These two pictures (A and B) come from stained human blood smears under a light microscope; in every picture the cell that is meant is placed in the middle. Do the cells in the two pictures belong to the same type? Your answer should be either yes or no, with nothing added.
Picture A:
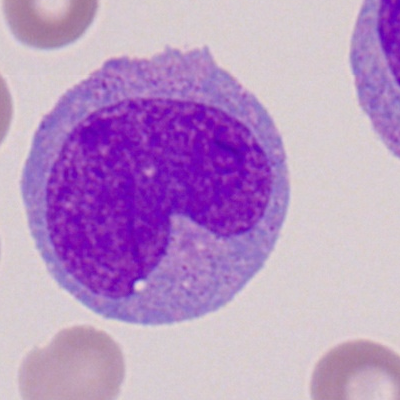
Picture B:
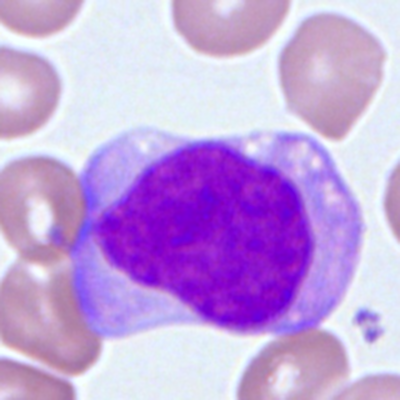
no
